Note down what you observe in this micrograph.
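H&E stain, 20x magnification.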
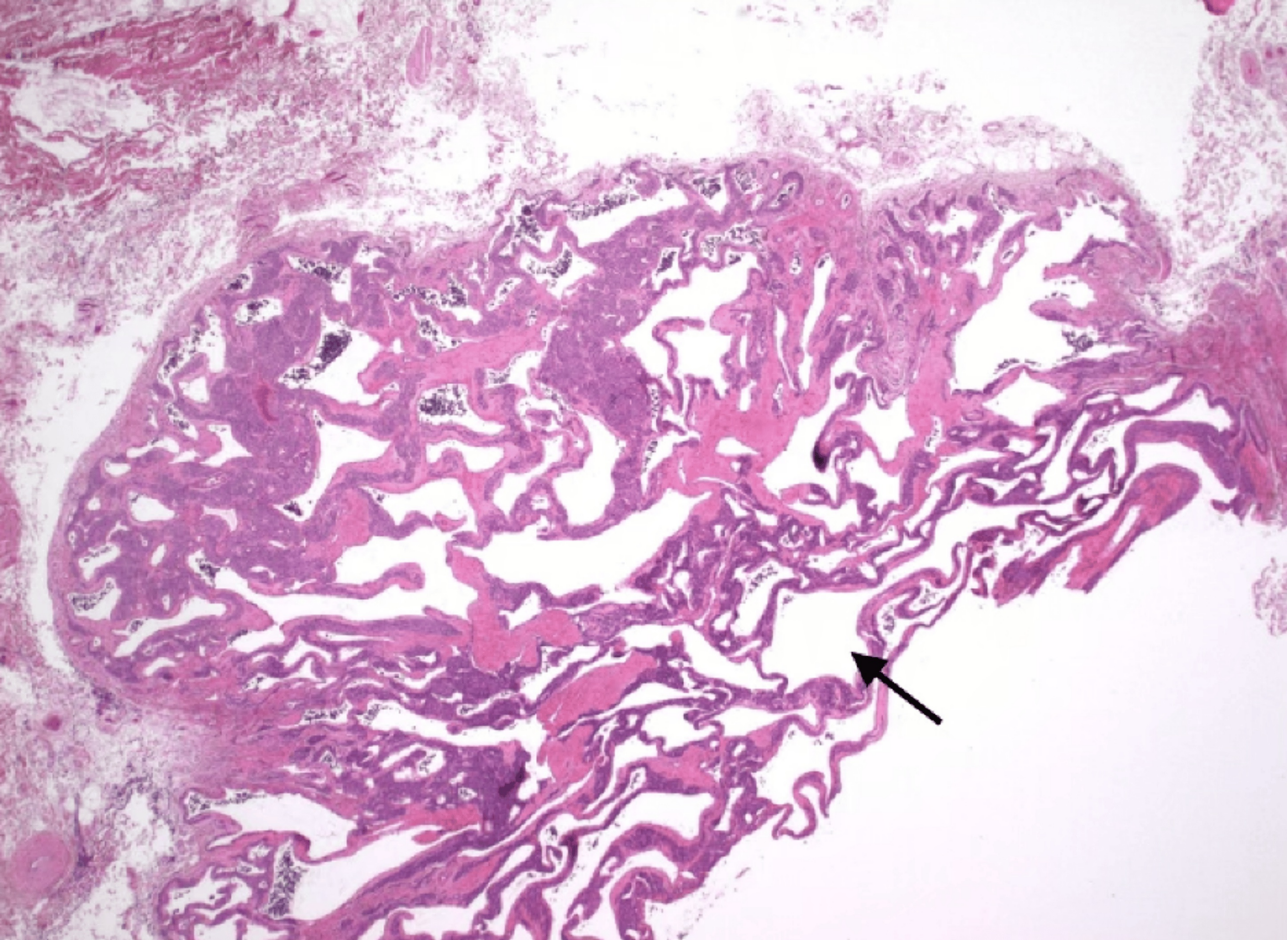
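A rounded, well-circumscribed lesion sits in looser pink connective tissue, riddled with many irregular, branching, interconnecting open channels. Some of these spaces hold clumped dark blood cells, and they are bounded by thin linings. Around the channels lie dense purple cuffs of small, closely packed cells, and these are separated by bands of paler pink, glassy stroma. Toward one edge the channels widen and the walls thin out into delicate, wavy septa. Together this reads as a lobular tumor of vascular channels encased by collars of uniform glomus cells, a pattern typical of a glomangioma.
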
